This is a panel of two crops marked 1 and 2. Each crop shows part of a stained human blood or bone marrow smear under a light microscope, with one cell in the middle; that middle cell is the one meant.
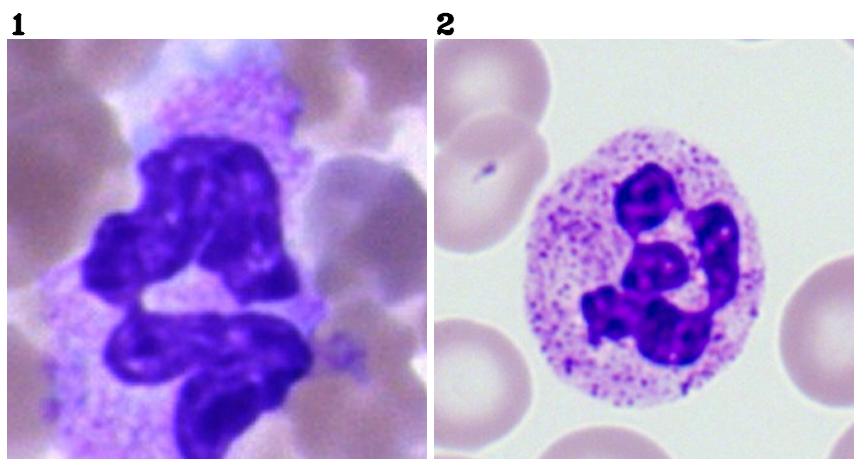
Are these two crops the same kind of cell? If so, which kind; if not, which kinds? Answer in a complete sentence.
Yes, both crops have segmented neutrophils as their central cells.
